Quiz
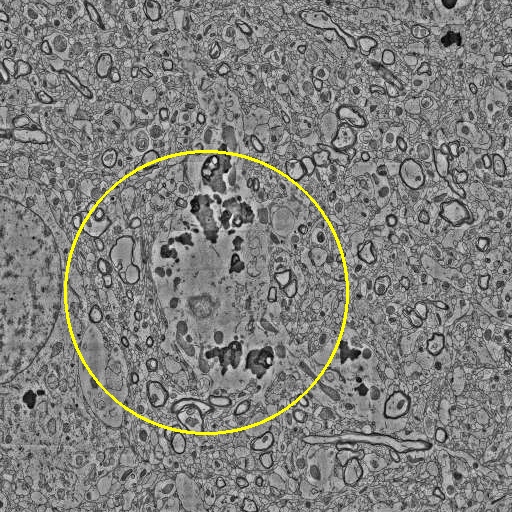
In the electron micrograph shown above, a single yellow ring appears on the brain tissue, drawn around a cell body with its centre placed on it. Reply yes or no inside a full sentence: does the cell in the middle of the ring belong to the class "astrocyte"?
Yes, the cell at the centre of the ring in the picture belongs to that class.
